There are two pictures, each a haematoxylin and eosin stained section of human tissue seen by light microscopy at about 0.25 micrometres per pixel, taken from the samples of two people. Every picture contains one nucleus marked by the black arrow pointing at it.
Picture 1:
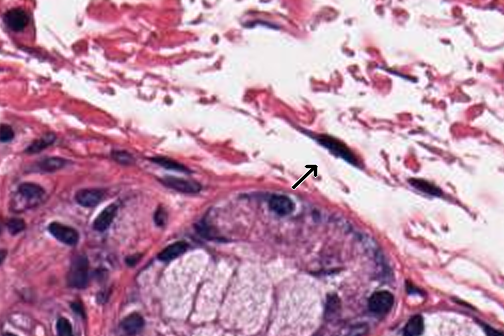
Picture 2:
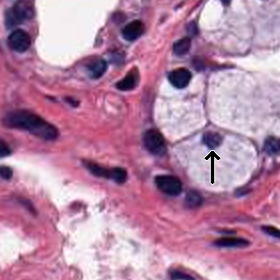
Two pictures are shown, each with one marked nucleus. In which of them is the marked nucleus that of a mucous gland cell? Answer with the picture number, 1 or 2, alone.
2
